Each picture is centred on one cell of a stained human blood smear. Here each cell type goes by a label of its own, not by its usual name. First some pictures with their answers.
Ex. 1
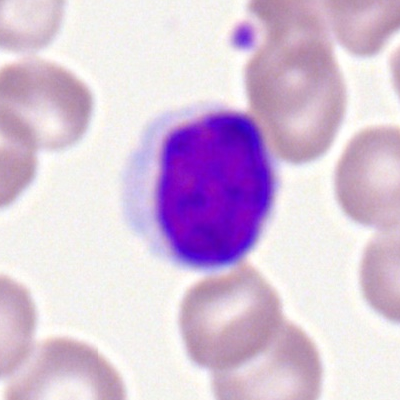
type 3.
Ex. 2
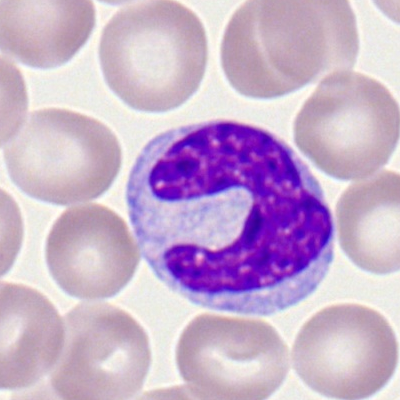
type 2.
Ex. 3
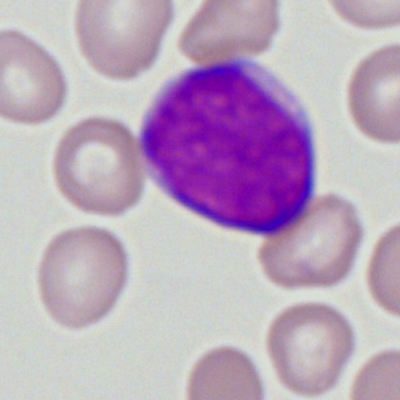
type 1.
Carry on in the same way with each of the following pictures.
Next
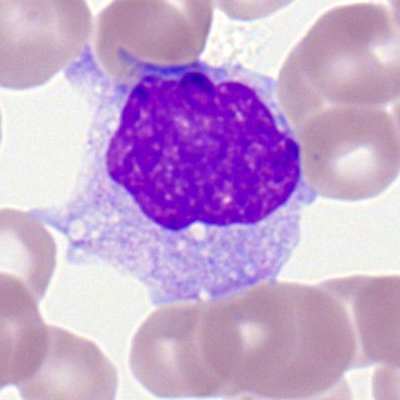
type 2.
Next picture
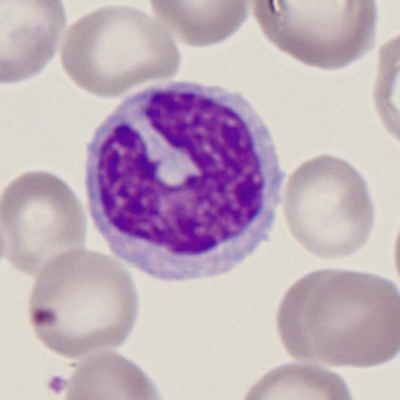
type 2.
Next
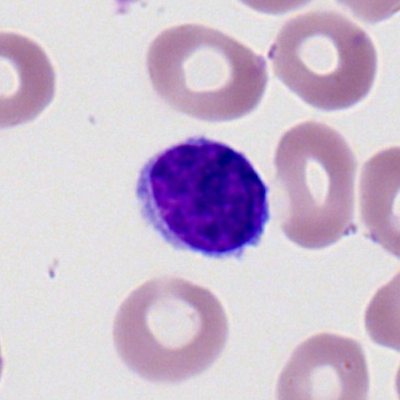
type 3.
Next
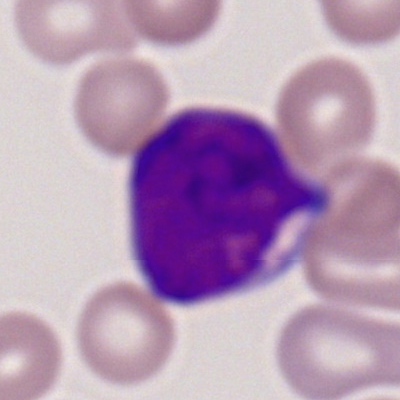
type 1.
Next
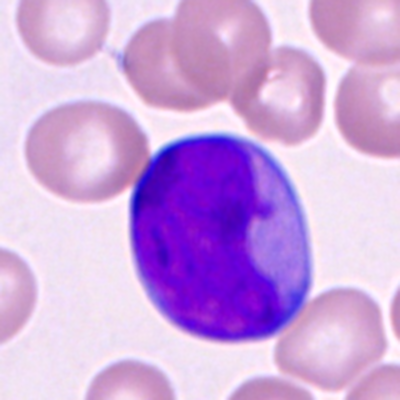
type 1.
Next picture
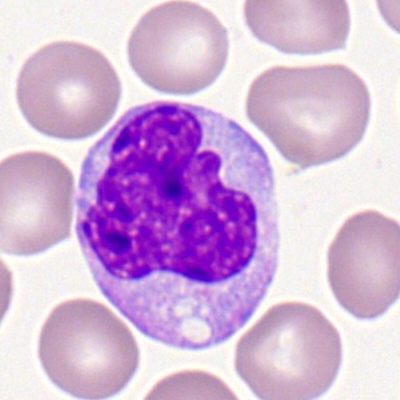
type 2.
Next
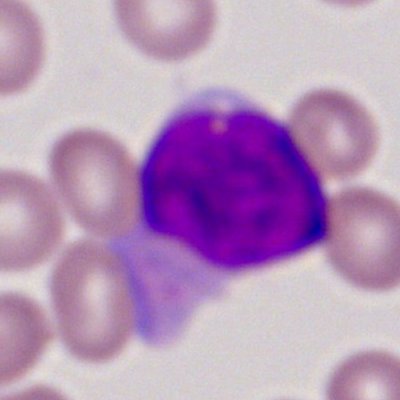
type 1.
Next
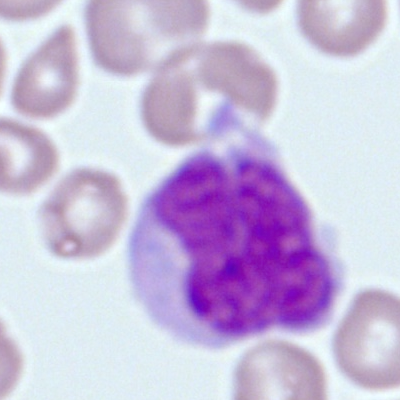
type 2.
